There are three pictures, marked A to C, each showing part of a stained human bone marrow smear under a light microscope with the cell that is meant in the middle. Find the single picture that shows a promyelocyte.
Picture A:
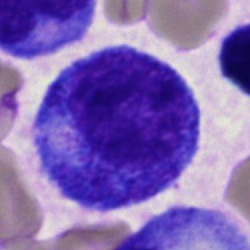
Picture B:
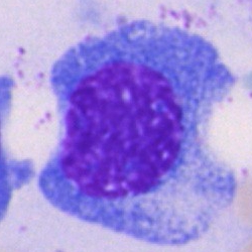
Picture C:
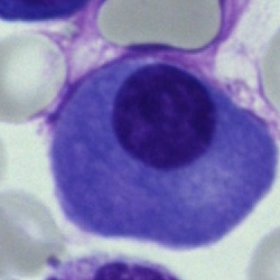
A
